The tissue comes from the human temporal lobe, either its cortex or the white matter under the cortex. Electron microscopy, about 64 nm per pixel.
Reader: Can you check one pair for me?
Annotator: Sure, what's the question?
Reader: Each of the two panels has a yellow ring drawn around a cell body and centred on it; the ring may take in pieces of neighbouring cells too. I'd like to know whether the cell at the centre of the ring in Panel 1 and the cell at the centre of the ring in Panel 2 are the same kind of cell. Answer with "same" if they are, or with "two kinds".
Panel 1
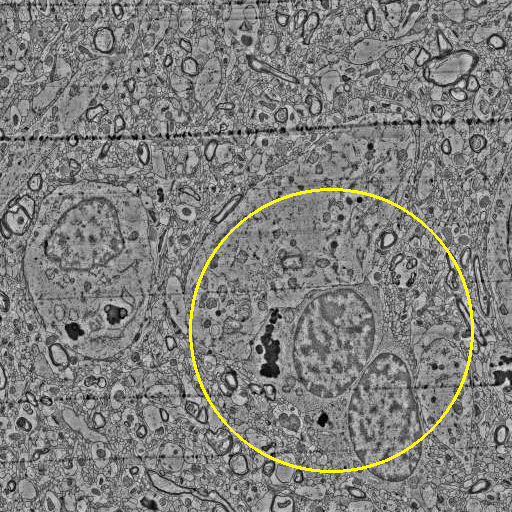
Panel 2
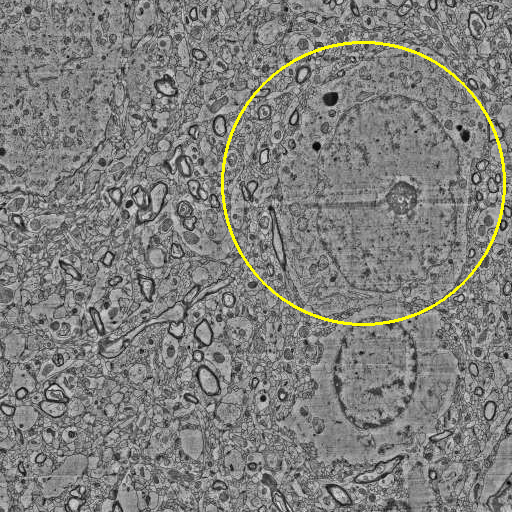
two kinds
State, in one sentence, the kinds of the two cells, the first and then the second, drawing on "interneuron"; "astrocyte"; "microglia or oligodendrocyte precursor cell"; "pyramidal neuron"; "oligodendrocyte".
The ring in the second picture is centred on an interneuron, the ring in the first on an oligodendrocyte.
